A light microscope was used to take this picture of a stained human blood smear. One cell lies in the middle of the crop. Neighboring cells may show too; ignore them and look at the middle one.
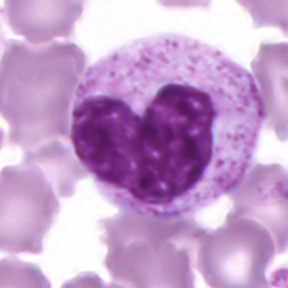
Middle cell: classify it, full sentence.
On this slide crop, the central cell is a metamyelocyte.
